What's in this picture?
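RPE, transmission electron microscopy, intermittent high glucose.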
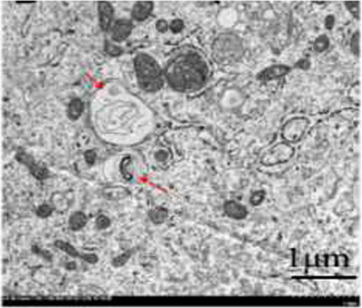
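Many small, dark, electron-dense oval and elongated mitochondria with cristae lie scattered through a finely granular cytoplasm, with stretches of membranes between them. Near the upper left centre sits a larger pale round vacuole bounded by membrane, holding curled membranous material, and beside it smaller rounded profiles with dark crescent-shaped membrane inside.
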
